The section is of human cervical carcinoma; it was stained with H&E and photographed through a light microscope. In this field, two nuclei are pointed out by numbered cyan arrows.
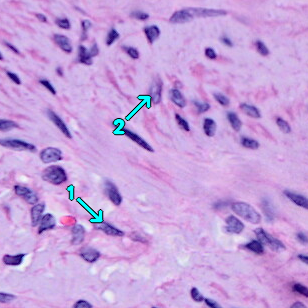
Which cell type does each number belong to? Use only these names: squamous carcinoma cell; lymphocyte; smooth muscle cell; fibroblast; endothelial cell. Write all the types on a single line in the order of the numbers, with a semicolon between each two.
endothelial cell; smooth muscle cell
